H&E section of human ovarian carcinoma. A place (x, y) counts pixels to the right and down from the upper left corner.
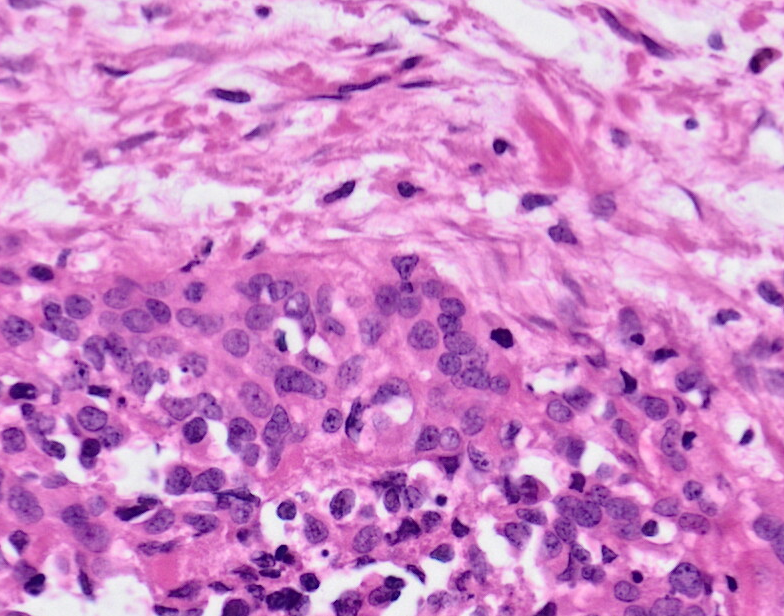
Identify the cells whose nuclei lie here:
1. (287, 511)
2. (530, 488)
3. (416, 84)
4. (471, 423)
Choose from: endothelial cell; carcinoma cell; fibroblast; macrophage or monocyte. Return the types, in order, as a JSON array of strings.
["carcinoma cell", "carcinoma cell", "fibroblast", "carcinoma cell"]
